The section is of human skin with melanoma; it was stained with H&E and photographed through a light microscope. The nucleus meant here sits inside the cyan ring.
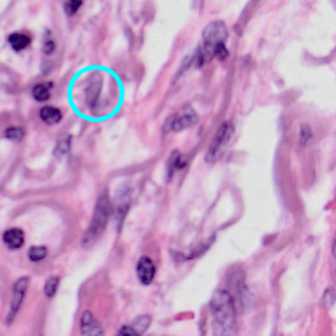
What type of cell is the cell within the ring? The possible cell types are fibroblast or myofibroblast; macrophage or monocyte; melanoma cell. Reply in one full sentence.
The cell meant here is a fibroblast or myofibroblast.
